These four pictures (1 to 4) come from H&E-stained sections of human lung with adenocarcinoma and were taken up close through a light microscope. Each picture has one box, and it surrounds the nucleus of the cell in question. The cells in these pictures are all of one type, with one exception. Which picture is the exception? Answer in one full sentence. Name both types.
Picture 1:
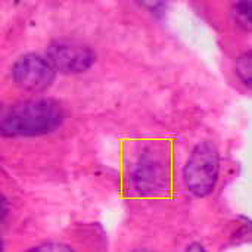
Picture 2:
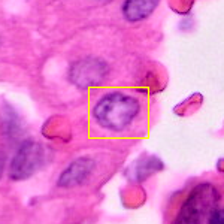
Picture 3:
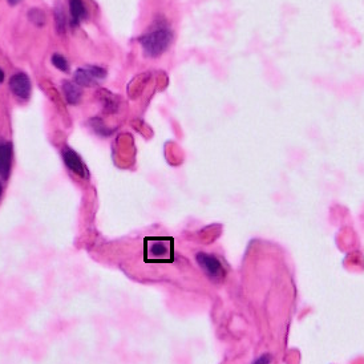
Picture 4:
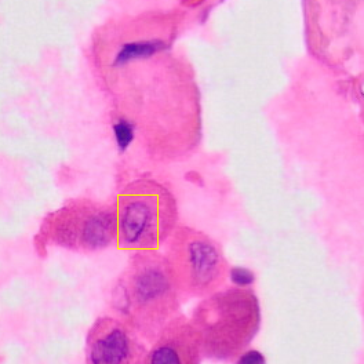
Unlike the rest, which show “macrophages or monocytes”, picture 3 shows an endothelial cell.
